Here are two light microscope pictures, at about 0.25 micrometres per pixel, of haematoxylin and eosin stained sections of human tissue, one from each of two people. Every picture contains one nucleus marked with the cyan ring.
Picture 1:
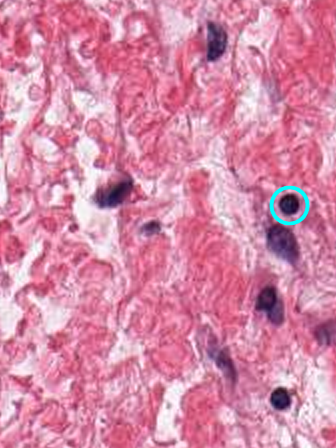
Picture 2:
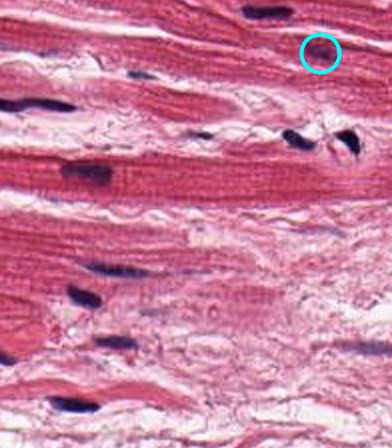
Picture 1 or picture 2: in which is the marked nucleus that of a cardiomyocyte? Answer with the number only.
2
